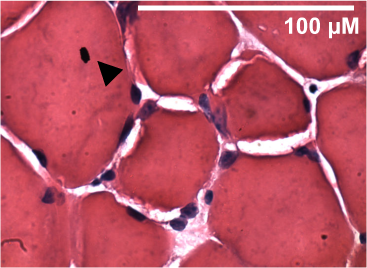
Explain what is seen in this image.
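Cross-sectioned skeletal muscle fibers stain reddish pink and are separated by pale interstitial spaces holding dark blue nuclei at the fiber borders. One fiber contains a dark elongated nucleus within its interior rather than at its edge, a centralized nucleus.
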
